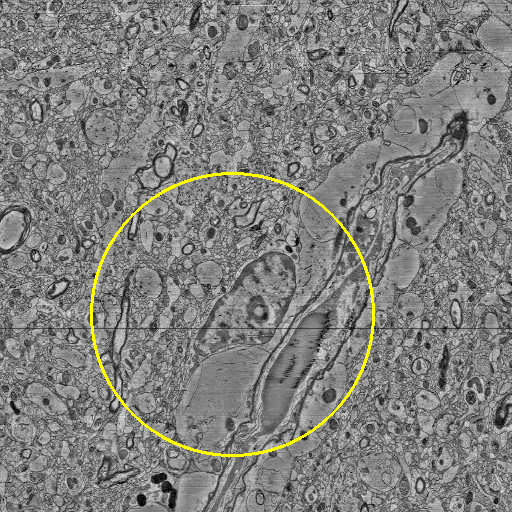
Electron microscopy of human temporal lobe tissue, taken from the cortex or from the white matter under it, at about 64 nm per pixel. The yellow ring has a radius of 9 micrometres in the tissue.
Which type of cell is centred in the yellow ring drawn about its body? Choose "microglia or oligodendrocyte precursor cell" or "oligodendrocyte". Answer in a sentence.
The yellow ring surrounds the cell body of a microglial cell or oligodendrocyte precursor cell.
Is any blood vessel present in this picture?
Yes, one shows.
